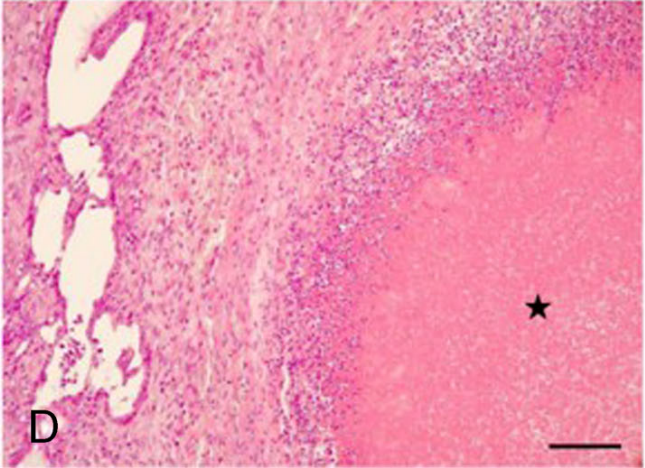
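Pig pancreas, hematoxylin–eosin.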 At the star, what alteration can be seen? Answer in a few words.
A: extensive tissue necrosis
